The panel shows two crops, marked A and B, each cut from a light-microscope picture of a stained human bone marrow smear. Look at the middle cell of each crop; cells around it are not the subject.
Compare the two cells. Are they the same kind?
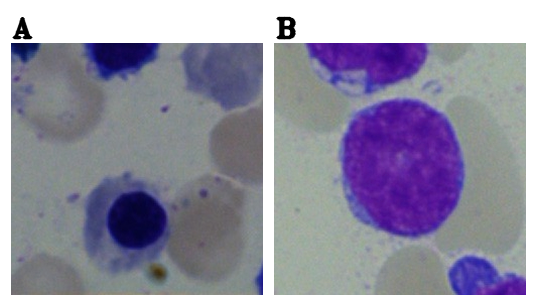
no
